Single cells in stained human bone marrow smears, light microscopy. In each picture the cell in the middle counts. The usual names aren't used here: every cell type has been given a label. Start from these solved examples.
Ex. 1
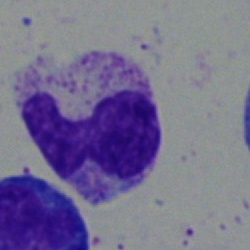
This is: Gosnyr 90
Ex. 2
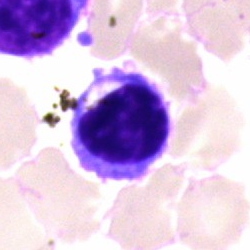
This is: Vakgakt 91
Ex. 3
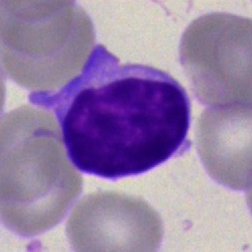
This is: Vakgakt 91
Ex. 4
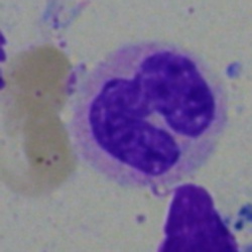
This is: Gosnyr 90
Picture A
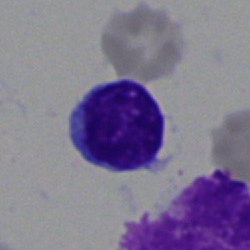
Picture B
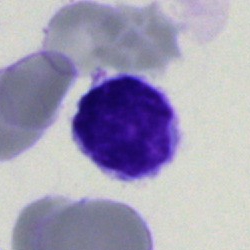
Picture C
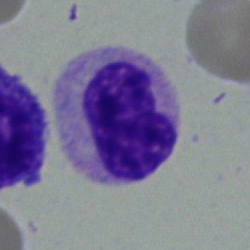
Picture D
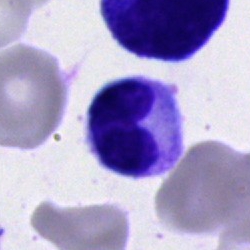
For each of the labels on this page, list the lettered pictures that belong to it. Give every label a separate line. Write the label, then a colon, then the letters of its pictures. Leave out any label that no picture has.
Gosnyr 90: C, D
Vakgakt 91: A, B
